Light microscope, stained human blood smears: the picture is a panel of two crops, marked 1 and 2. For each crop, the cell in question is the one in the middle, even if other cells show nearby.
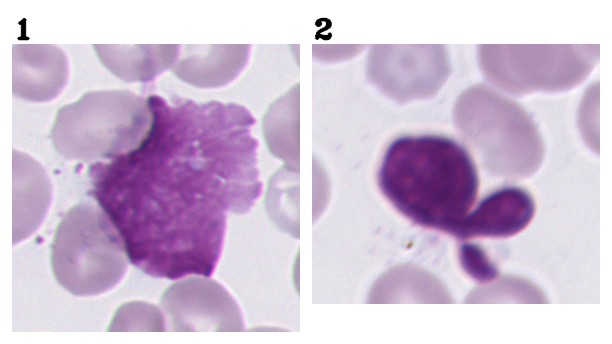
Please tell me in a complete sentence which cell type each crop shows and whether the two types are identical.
Yes, the cells of interest in both crops are smudge cells.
